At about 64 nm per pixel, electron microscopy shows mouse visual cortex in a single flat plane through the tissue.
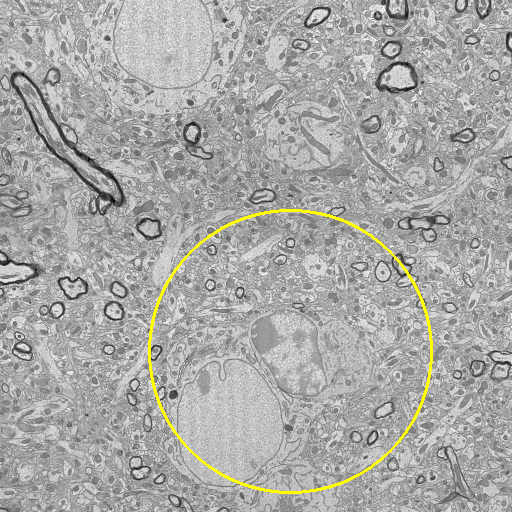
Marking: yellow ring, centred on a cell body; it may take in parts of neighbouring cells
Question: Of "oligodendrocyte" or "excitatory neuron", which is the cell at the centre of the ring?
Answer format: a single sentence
The ring surrounds the body of an oligodendrocyte.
